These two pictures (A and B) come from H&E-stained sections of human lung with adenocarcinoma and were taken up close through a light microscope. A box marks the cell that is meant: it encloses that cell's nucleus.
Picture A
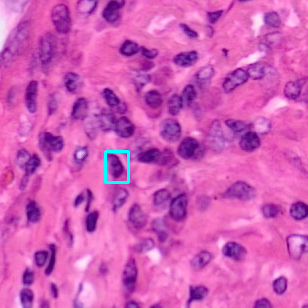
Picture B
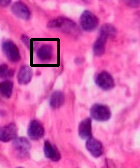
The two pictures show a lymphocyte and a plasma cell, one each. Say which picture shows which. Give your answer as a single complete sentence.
It is picture A that shows a plasma cell, and picture B that shows a lymphocyte.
